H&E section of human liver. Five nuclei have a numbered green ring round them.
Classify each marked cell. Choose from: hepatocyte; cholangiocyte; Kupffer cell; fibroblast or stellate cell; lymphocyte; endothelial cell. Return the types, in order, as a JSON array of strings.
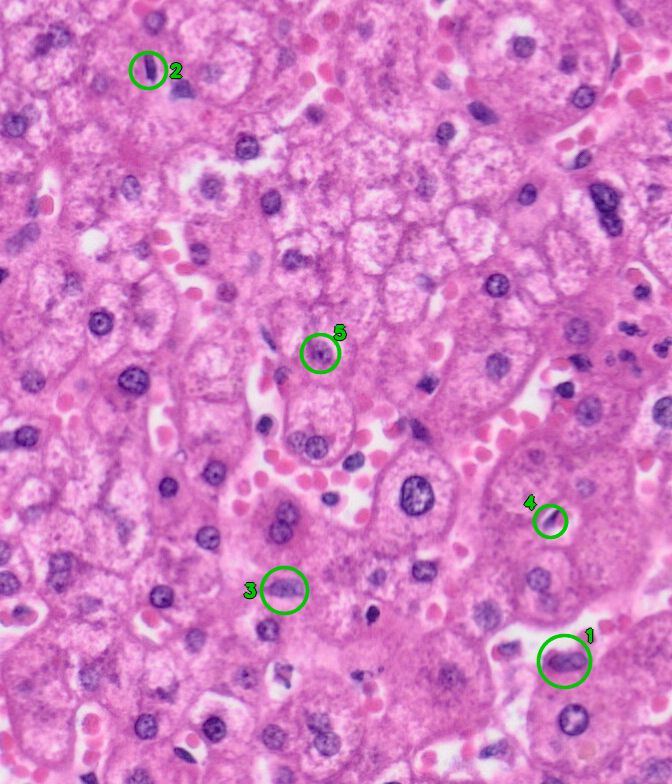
["Kupffer cell", "fibroblast or stellate cell", "Kupffer cell", "endothelial cell", "hepatocyte"]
